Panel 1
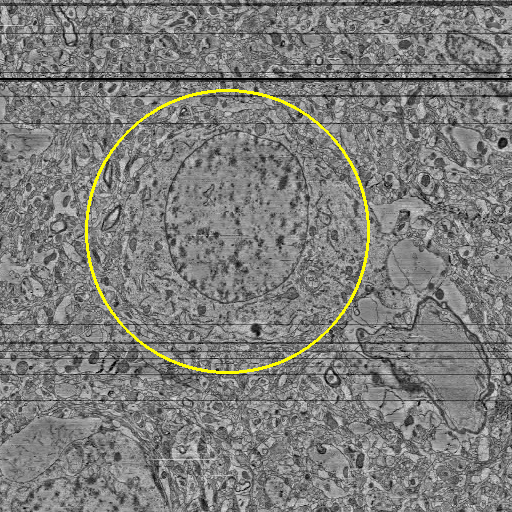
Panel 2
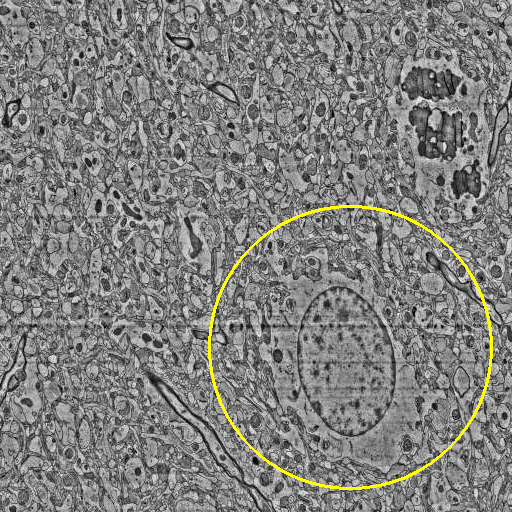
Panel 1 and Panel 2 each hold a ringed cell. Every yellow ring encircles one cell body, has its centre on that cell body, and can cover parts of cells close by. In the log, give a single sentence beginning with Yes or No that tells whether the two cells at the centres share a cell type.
No, in Panel 1 and Panel 2 the centred cells are of two cell types.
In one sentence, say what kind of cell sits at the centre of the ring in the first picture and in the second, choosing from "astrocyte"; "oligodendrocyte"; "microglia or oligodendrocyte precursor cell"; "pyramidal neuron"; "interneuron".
The first picture's ringed cell is a pyramidal neuron, while the second picture's is an astrocyte.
